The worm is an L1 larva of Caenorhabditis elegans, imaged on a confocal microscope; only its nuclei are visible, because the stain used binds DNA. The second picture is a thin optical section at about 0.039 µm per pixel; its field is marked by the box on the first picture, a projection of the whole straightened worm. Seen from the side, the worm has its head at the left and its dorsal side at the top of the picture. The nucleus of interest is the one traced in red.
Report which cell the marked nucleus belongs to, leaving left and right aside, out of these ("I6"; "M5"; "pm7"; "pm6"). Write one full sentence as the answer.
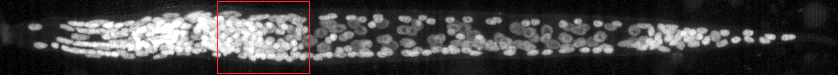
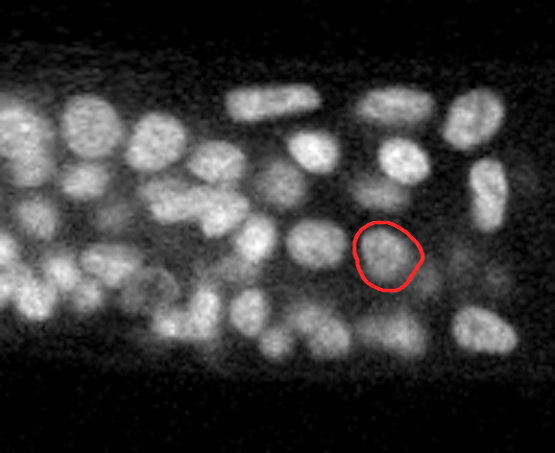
The cell whose nucleus is marked is pm7, a pharyngeal muscle cell.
